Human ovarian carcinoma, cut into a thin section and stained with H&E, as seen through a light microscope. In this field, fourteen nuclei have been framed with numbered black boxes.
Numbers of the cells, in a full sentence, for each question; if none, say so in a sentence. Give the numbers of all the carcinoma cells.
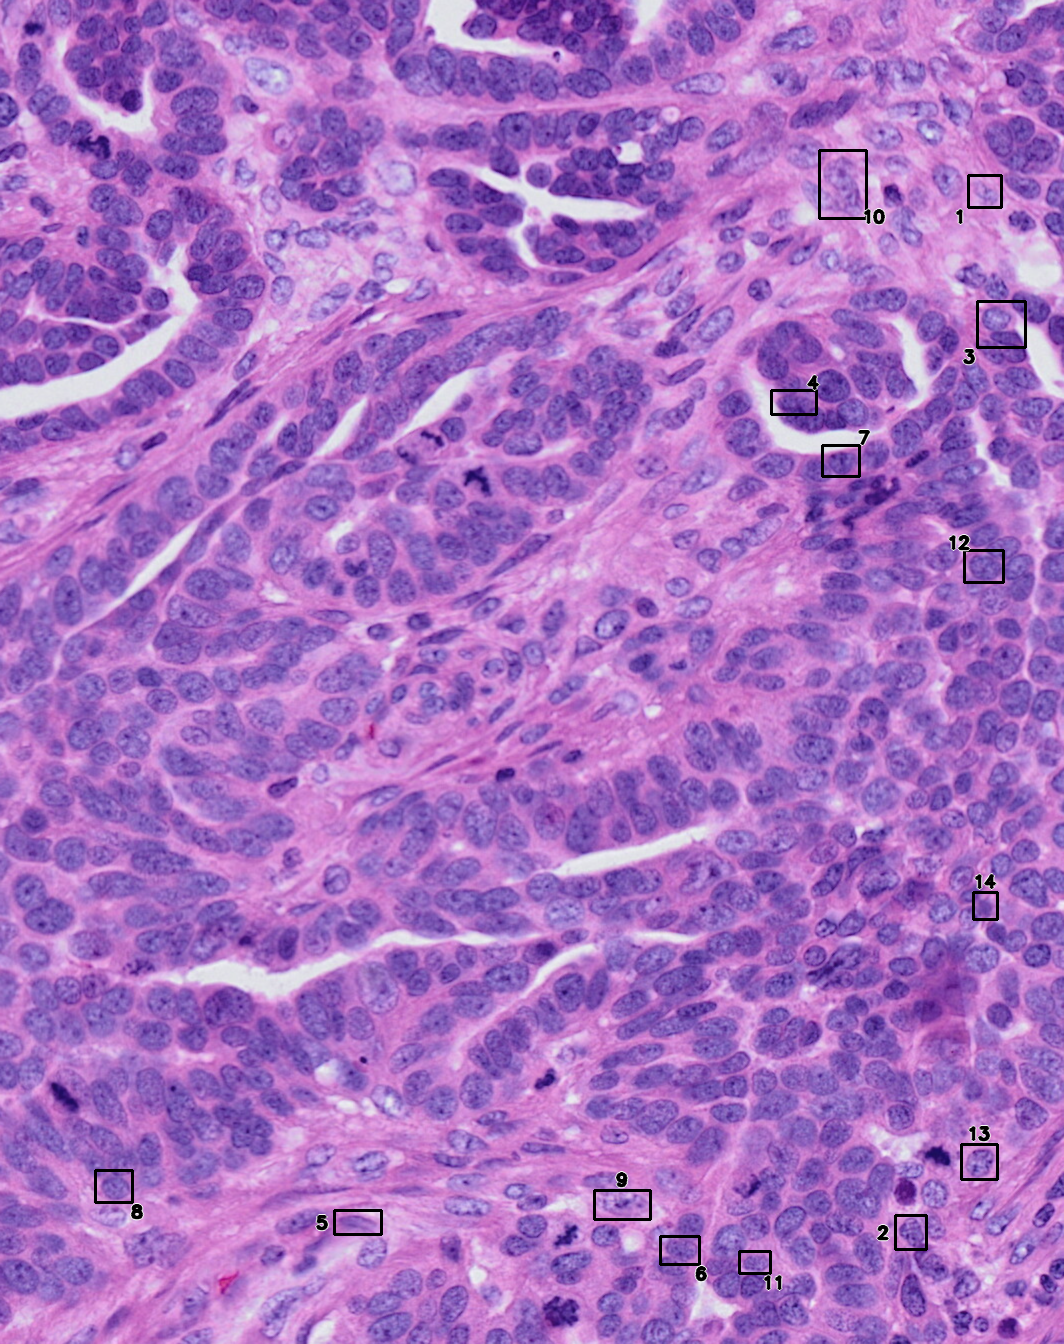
The cells carrying labels 3, 4, 6, 7, 8, 11, 12 and 14 are carcinoma cells.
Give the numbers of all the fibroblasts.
The cells given the numbers 1, 5, 9 and 10 are fibroblasts.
